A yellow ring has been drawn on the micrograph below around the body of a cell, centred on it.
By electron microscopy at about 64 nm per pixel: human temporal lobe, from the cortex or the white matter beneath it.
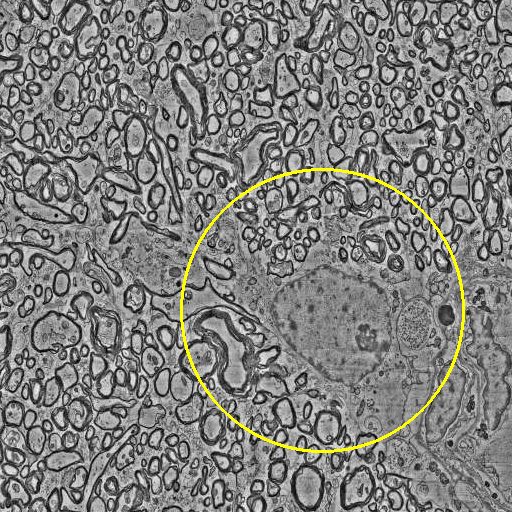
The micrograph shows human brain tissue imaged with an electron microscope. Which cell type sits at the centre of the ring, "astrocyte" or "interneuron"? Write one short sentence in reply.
The cell sitting at the centre of the ring is an astrocyte.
